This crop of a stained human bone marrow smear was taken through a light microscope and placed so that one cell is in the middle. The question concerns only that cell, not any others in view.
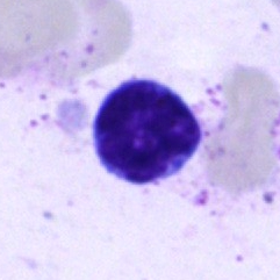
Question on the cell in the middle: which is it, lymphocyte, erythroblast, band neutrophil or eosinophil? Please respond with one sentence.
The cell at the central position in this crop is a lymphocyte.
